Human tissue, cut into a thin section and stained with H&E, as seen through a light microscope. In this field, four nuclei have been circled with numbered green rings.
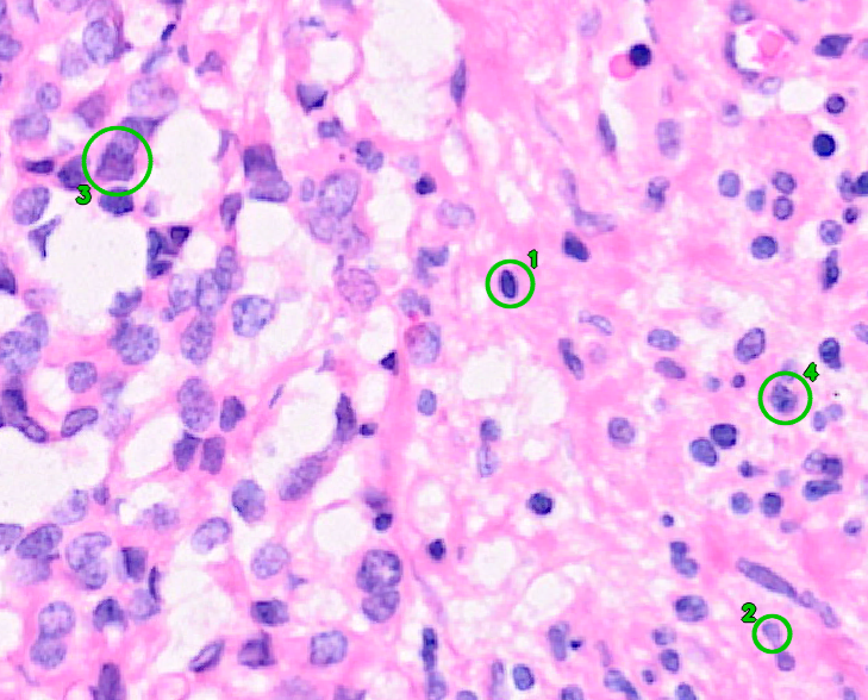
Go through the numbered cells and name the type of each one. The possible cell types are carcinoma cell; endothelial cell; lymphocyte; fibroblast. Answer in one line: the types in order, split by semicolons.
lymphocyte; lymphocyte; carcinoma cell; lymphocyte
